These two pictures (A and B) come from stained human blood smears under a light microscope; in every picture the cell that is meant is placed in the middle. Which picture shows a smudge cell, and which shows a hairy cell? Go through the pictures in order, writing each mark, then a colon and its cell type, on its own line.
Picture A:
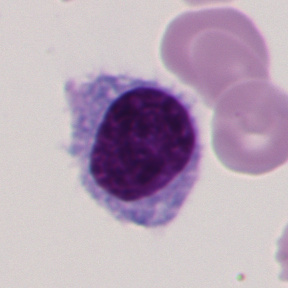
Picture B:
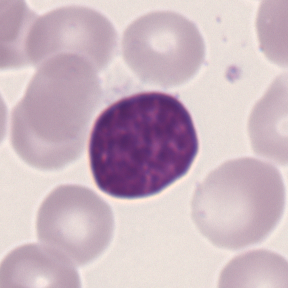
A: hairy cell
B: smudge cell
